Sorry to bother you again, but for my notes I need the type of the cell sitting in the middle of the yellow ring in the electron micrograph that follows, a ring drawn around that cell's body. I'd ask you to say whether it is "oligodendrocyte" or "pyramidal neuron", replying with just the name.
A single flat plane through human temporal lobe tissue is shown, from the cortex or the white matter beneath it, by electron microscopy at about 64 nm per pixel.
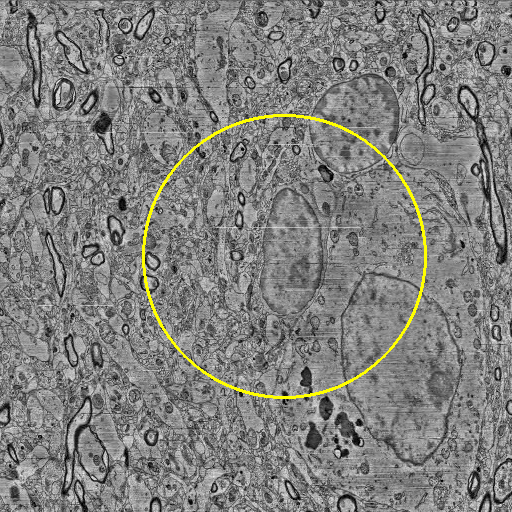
oligodendrocyte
